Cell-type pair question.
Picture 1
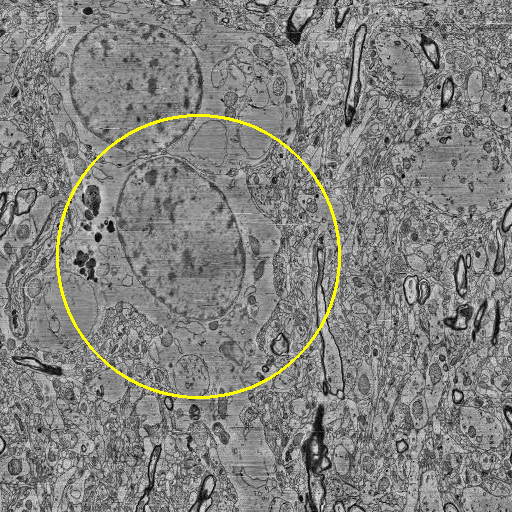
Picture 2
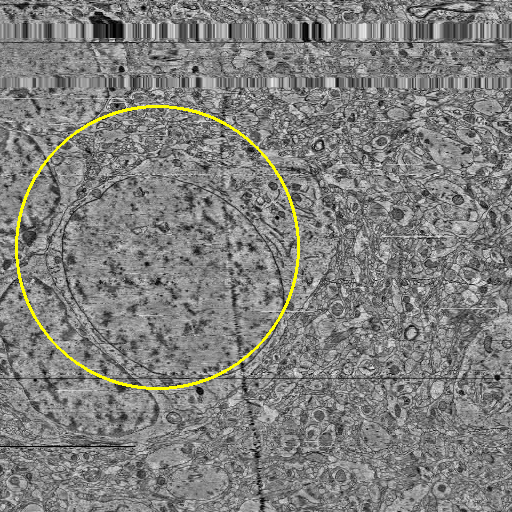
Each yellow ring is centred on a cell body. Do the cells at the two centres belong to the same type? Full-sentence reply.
No, the two cells belong to two types.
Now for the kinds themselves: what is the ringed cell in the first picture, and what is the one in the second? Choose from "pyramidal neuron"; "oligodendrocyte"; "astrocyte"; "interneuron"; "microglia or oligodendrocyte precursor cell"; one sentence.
Here the first cell is an astrocyte and the second cell is a pyramidal neuron.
